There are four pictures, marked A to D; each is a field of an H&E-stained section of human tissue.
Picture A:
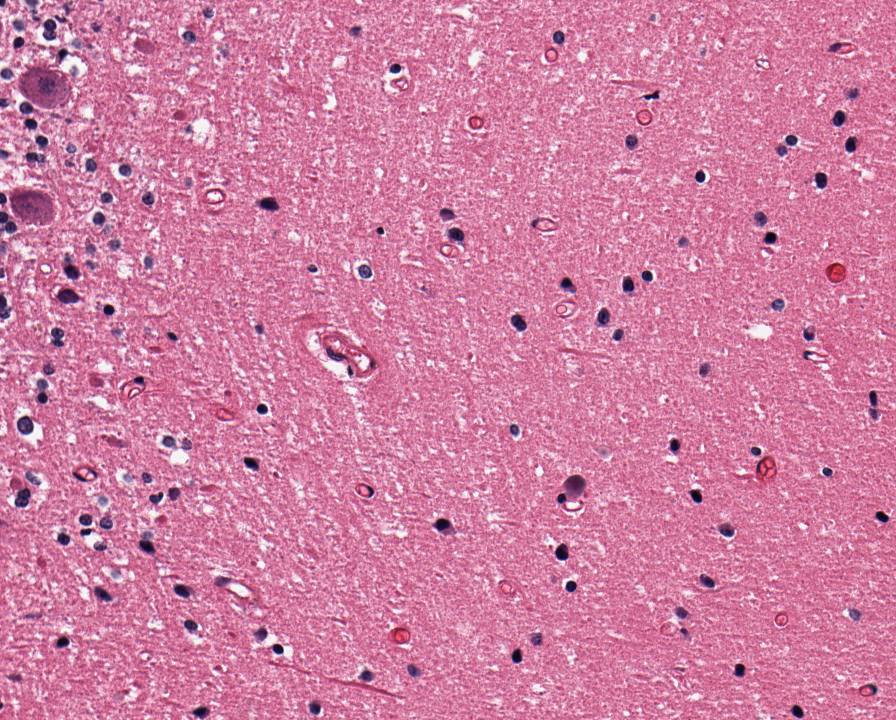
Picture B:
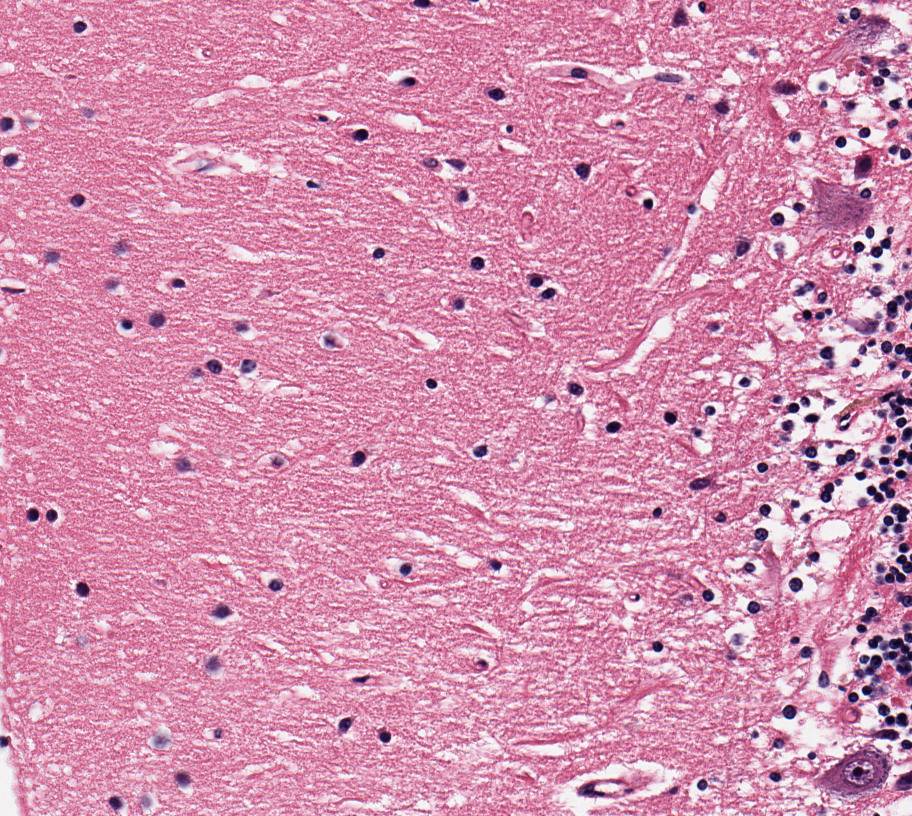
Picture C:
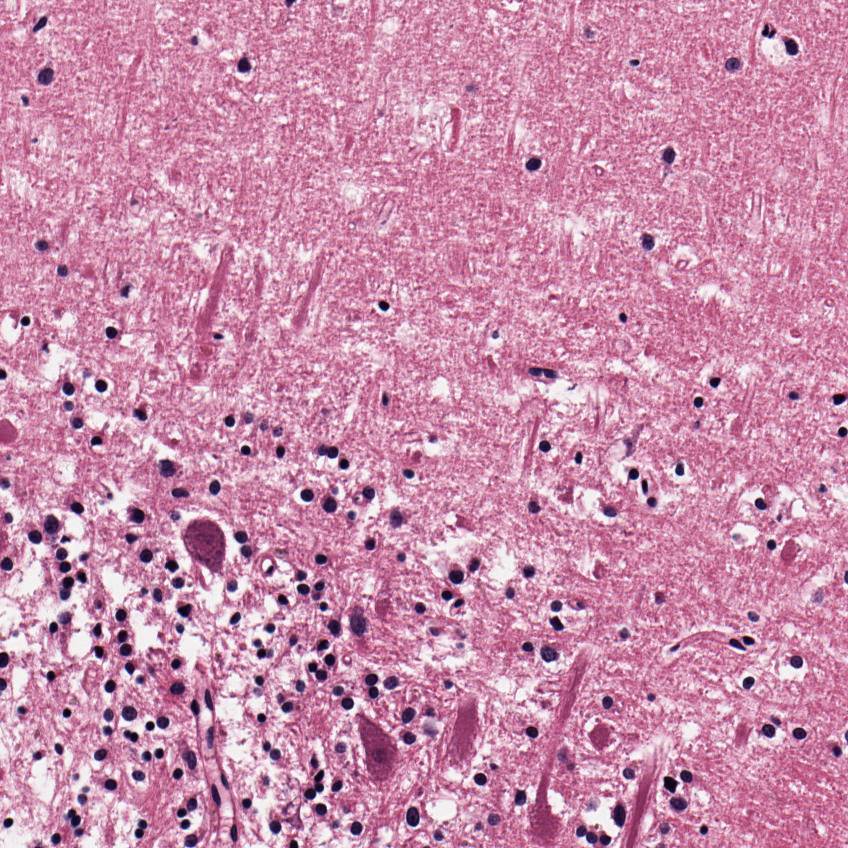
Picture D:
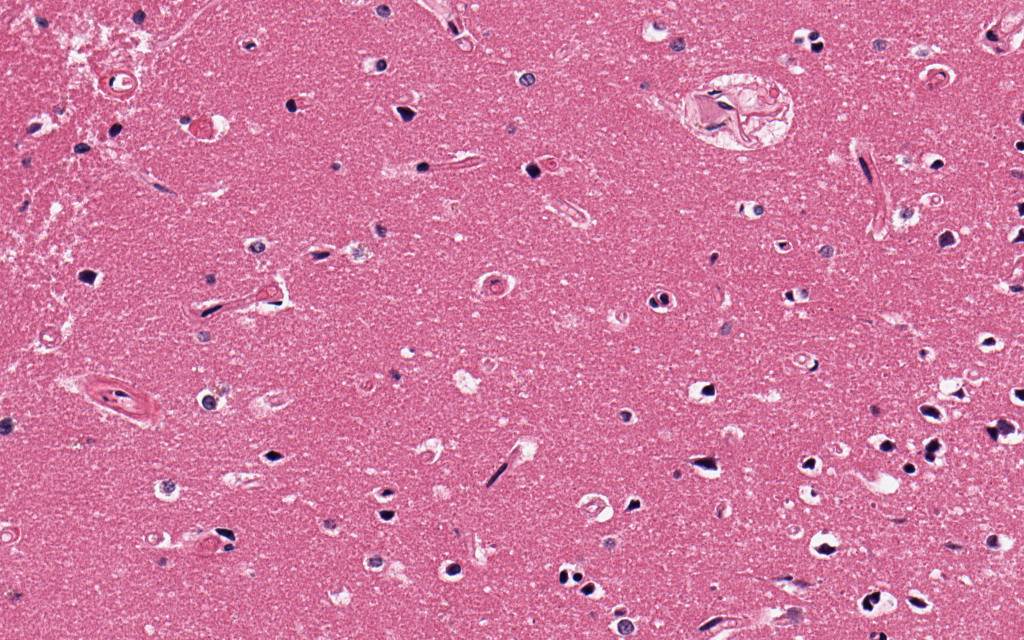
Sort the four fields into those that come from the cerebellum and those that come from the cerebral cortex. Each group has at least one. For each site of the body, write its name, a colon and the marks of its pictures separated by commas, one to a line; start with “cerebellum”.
cerebellum: A, B, C
cerebral cortex: D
